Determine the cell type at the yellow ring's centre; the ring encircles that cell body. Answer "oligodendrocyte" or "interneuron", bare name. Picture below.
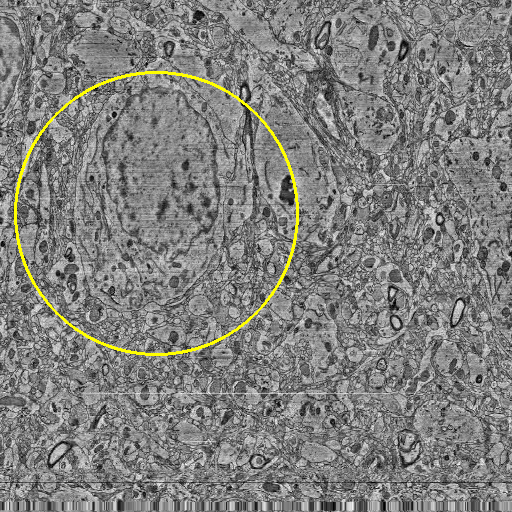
interneuron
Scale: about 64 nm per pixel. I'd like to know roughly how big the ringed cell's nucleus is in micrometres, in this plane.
In this plane the nucleus is clearly longer than it is wide: roughly 11 by 7 micrometres.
